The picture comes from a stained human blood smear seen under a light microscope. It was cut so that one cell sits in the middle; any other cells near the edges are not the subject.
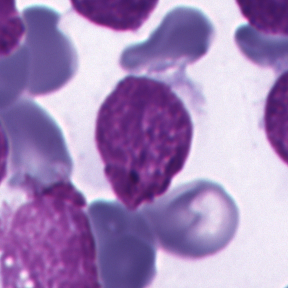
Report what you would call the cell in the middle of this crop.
blast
